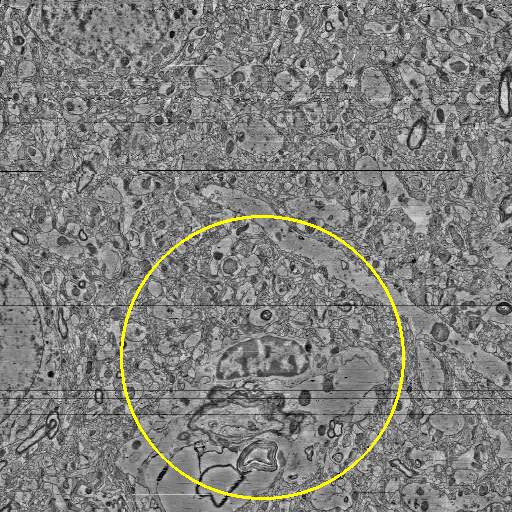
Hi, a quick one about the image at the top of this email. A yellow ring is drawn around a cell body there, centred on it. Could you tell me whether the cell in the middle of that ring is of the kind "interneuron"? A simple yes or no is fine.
no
